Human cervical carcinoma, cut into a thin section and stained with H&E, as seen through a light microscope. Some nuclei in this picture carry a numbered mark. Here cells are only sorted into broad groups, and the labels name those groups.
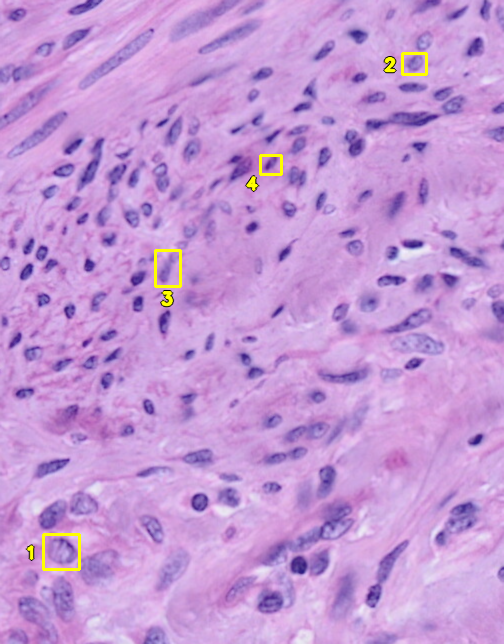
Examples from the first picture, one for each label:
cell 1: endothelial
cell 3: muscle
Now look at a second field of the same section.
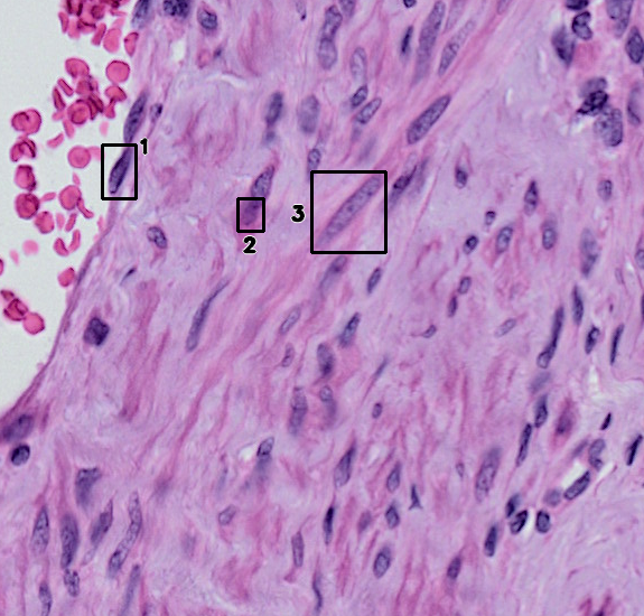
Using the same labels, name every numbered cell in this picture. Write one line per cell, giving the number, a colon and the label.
1: endothelial
2: muscle
3: muscle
